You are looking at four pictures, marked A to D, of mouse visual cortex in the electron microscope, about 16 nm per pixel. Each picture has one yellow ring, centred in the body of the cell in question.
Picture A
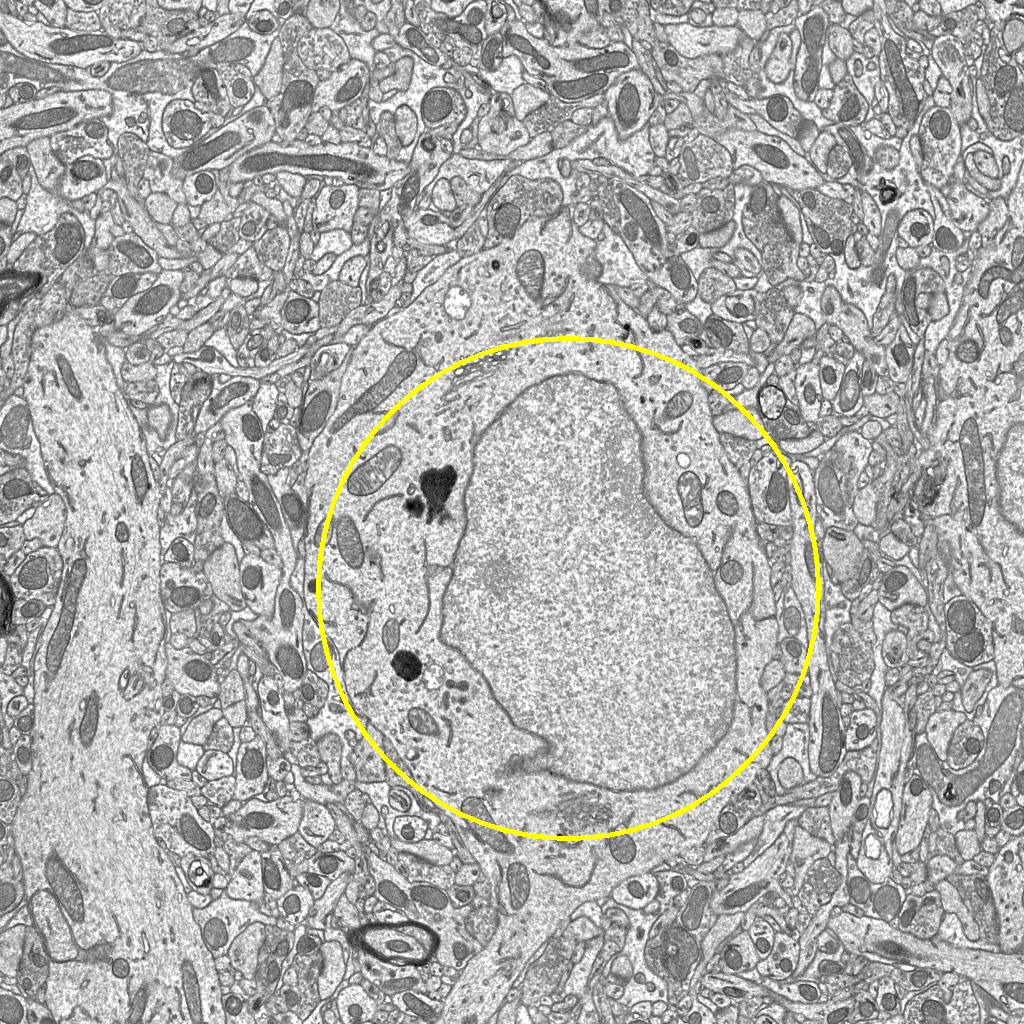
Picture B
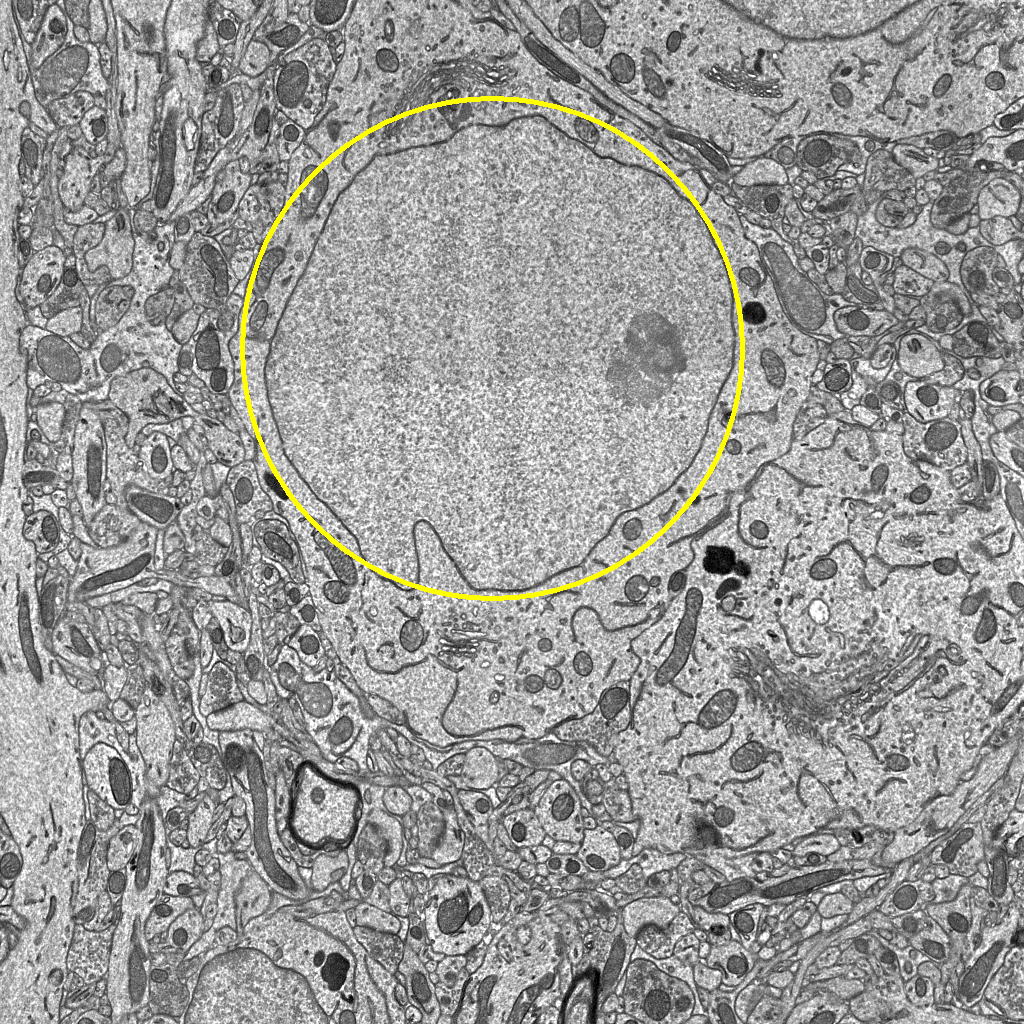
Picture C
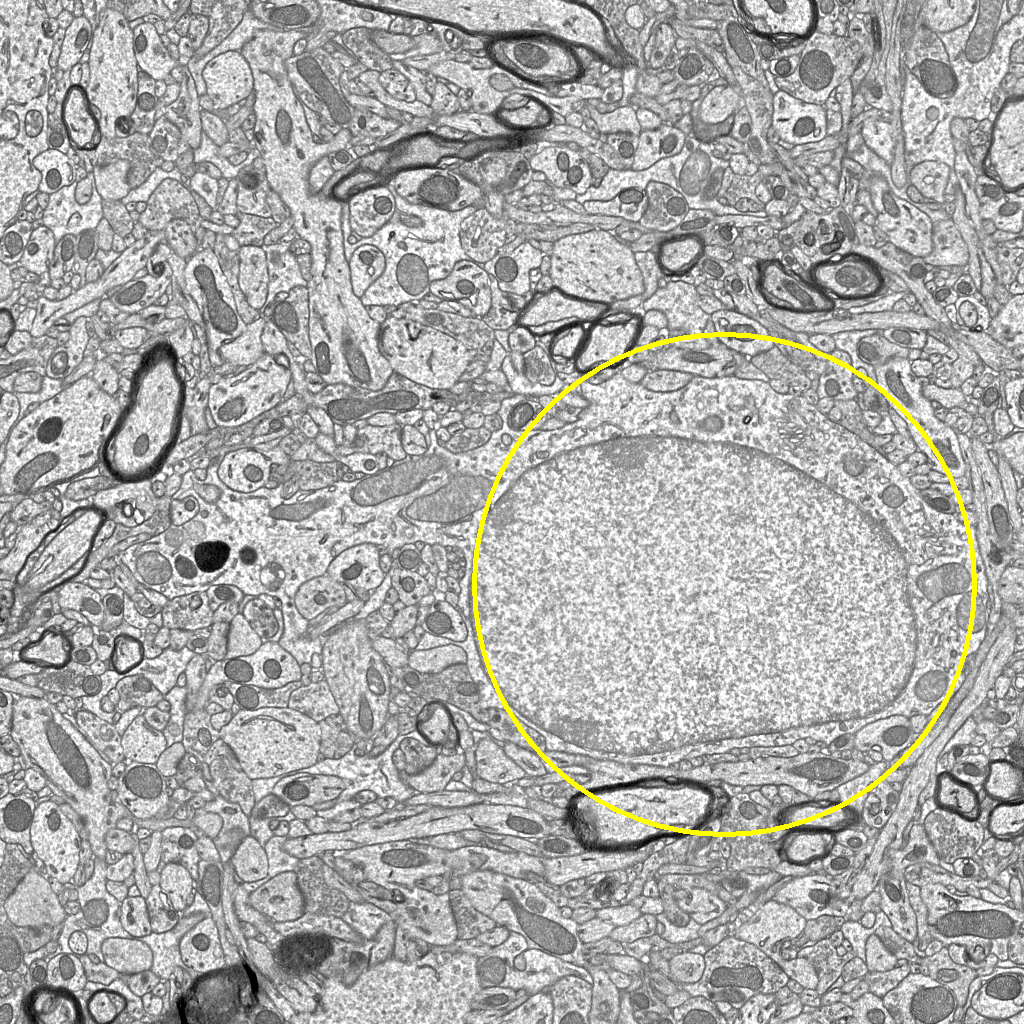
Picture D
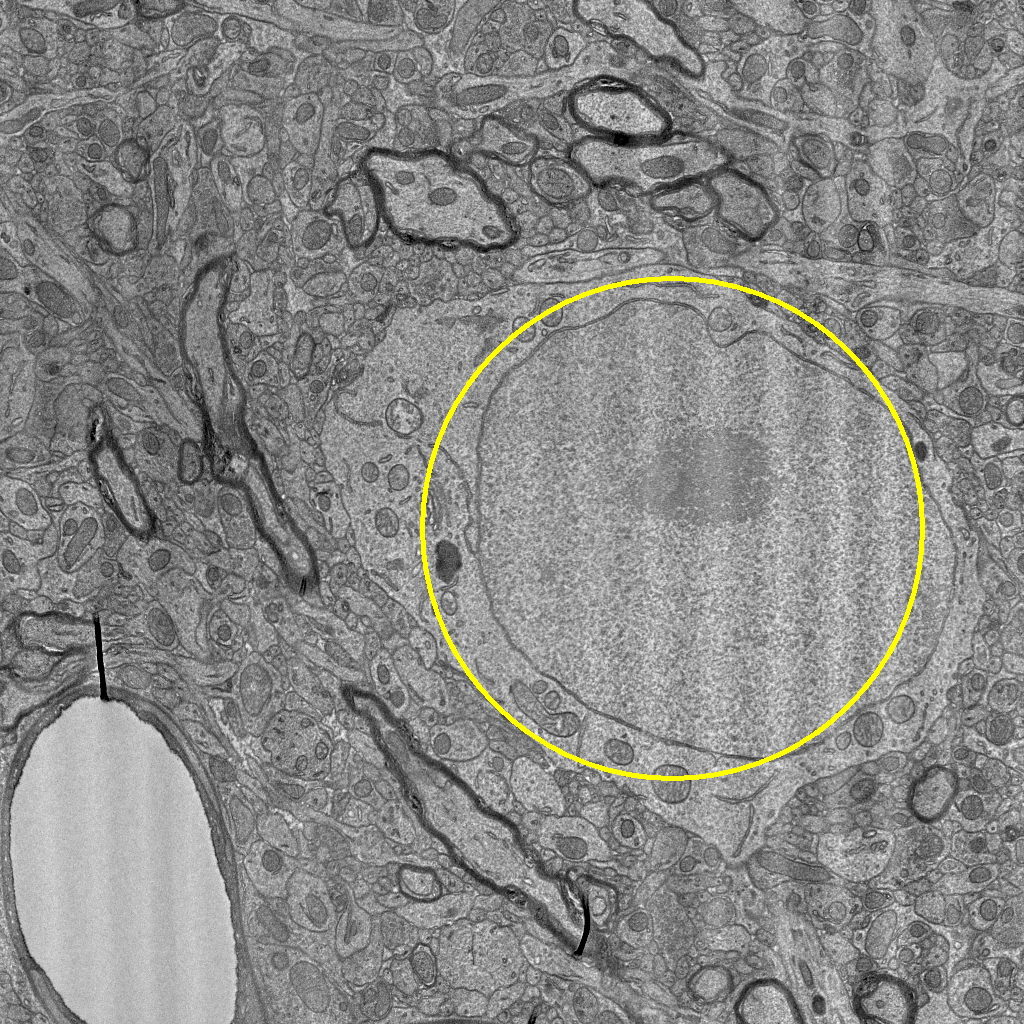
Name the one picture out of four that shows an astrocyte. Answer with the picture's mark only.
C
